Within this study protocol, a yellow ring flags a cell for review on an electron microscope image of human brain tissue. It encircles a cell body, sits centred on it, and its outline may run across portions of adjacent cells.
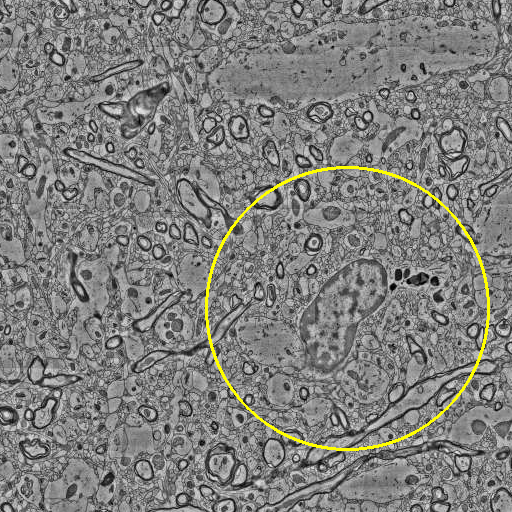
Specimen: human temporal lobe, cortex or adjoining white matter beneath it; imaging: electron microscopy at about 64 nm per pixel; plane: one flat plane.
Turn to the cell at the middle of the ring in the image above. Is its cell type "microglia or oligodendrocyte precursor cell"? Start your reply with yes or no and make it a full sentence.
Yes, the cell at the ring's centre in the image above has that cell type.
